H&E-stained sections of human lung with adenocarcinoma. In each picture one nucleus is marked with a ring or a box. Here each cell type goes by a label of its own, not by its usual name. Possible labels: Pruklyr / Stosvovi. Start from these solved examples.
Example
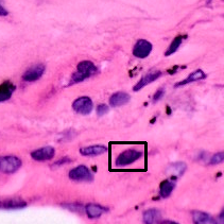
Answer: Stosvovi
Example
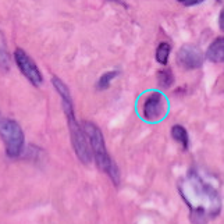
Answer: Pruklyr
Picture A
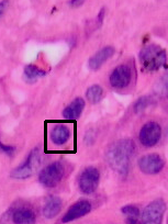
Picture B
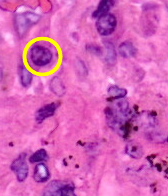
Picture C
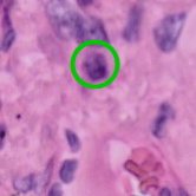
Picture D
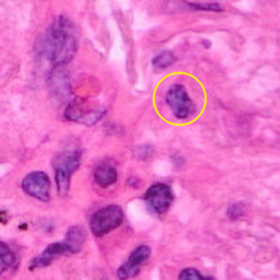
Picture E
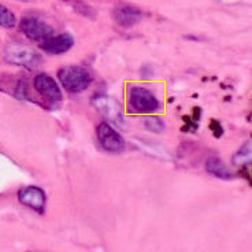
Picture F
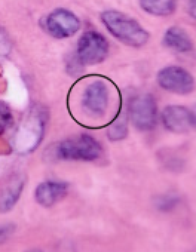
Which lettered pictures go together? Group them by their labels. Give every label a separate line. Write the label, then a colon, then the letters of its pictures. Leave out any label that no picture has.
Pruklyr: A, D, F
Stosvovi: B, C, E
